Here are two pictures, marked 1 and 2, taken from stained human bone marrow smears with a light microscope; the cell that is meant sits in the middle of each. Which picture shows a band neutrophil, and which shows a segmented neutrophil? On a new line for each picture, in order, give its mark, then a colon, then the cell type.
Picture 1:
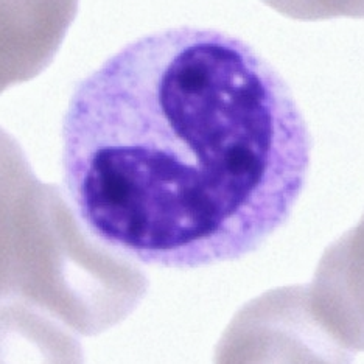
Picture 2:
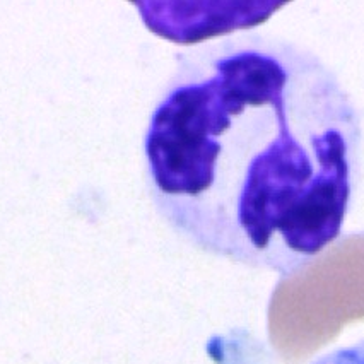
1: band neutrophil
2: segmented neutrophil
